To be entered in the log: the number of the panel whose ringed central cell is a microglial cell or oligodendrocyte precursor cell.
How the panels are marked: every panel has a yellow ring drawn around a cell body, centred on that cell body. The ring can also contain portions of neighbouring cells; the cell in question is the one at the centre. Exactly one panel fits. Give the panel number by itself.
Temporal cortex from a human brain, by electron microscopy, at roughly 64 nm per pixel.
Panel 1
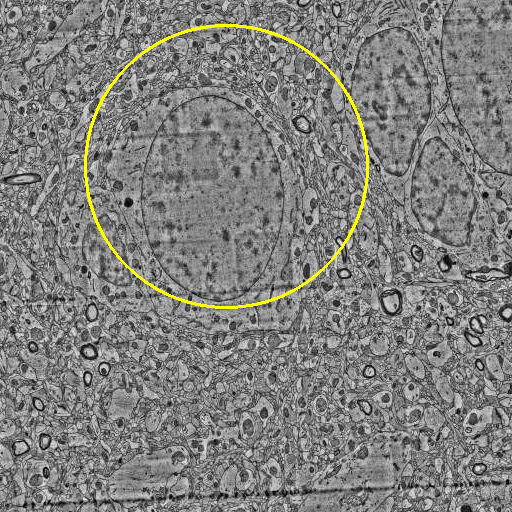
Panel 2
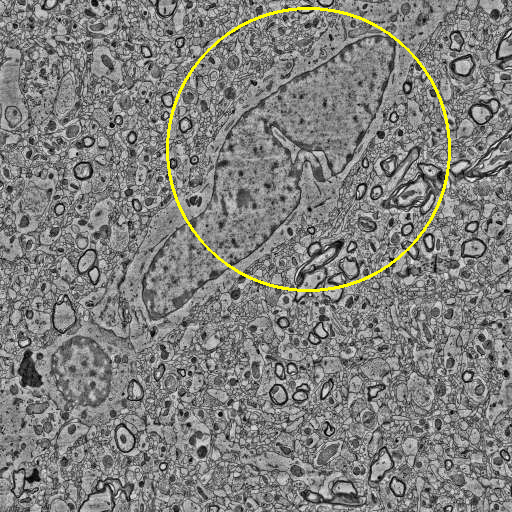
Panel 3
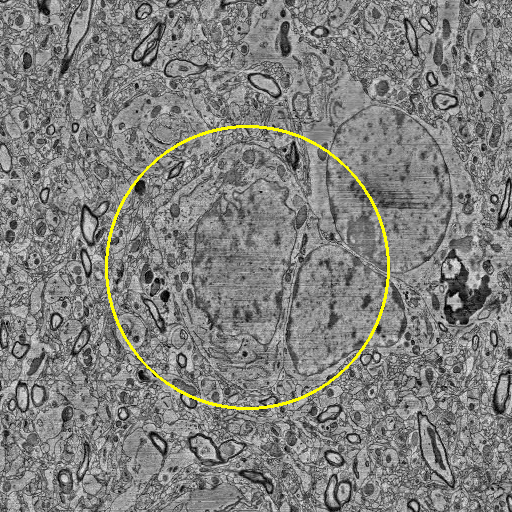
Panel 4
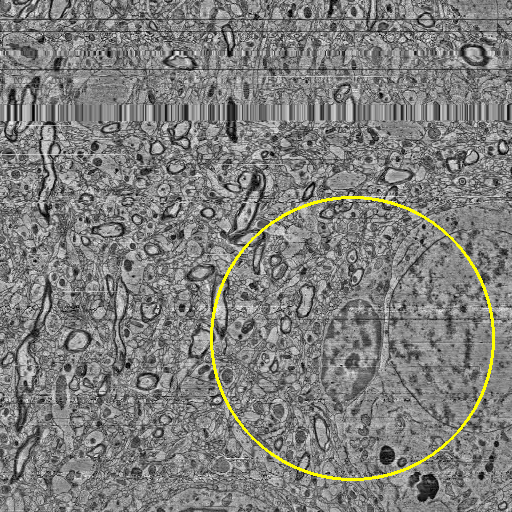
2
